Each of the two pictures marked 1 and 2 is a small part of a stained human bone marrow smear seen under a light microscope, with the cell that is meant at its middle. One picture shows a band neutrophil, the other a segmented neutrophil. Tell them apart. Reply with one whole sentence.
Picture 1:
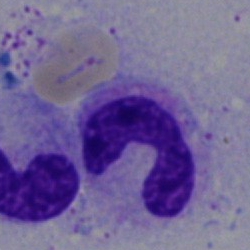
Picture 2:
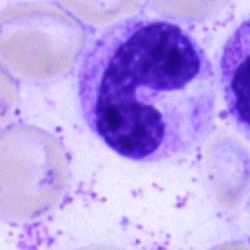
Picture 1 is of a segmented neutrophil, and picture 2 is of a band neutrophil.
